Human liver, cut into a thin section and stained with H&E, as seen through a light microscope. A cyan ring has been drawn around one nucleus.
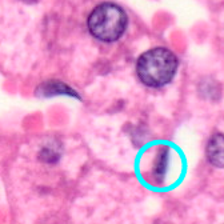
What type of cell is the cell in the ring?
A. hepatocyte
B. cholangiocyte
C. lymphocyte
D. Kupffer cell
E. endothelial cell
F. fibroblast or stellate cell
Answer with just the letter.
E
